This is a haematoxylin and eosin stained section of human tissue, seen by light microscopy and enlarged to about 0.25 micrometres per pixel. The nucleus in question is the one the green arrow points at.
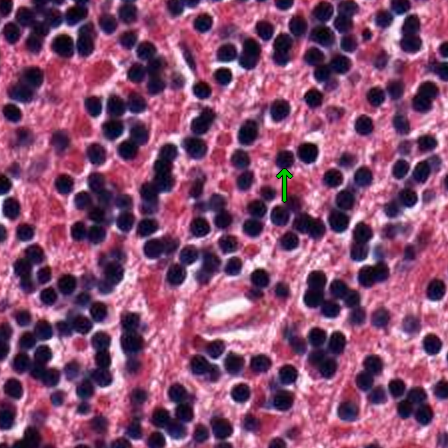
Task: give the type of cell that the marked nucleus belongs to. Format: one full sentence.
The nucleus marked in this picture belongs to a cerebellar granule cell.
